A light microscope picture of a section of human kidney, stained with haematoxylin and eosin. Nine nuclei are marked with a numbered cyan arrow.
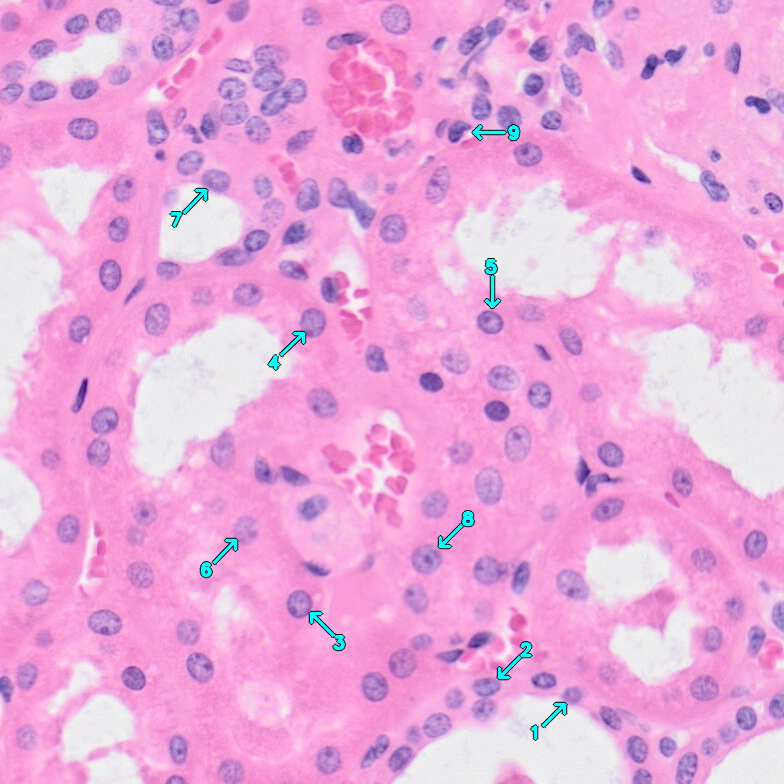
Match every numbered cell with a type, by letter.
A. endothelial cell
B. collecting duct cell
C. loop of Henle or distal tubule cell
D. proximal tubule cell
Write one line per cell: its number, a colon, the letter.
1: B
2: B
3: D
4: D
5: D
6: D
7: B
8: D
9: A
